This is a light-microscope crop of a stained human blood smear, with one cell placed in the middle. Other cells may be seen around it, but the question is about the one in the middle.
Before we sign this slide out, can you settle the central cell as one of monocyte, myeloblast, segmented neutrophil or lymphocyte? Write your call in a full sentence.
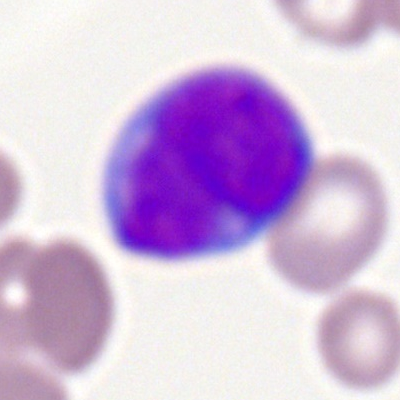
In the center of this field lies a myeloblast.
